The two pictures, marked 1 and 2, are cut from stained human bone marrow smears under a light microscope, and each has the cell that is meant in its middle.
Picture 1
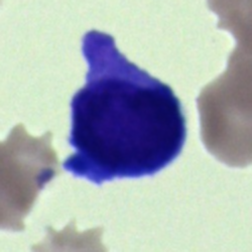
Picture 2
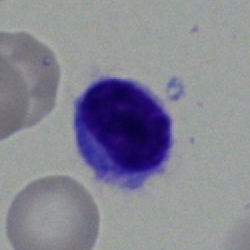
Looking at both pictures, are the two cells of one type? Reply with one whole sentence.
No, they differ: the cell is a blast in picture 1 and a lymphocyte in picture 2.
